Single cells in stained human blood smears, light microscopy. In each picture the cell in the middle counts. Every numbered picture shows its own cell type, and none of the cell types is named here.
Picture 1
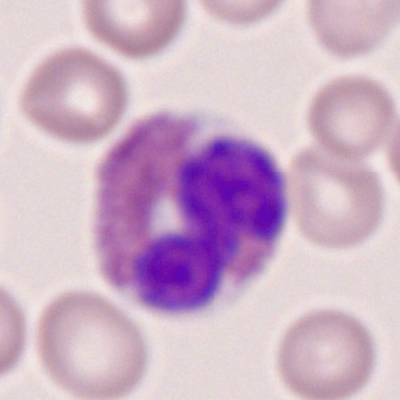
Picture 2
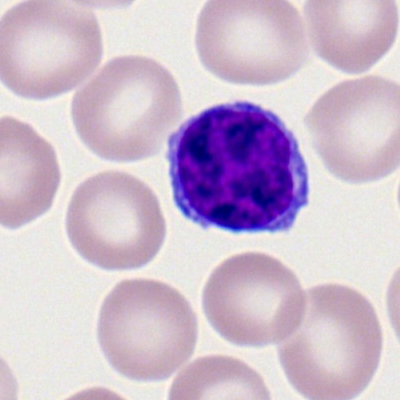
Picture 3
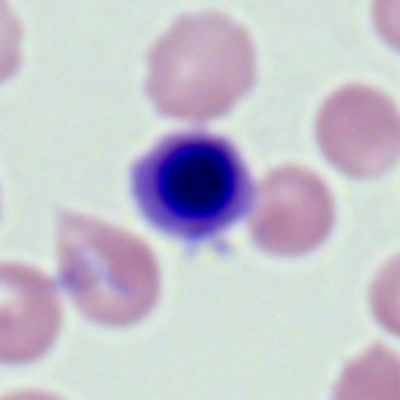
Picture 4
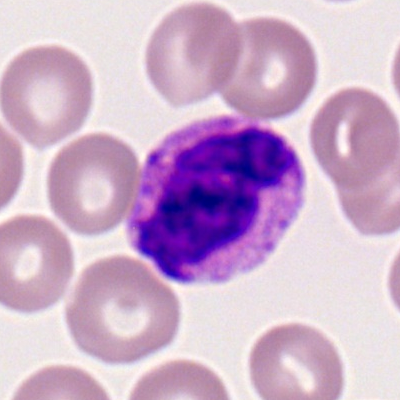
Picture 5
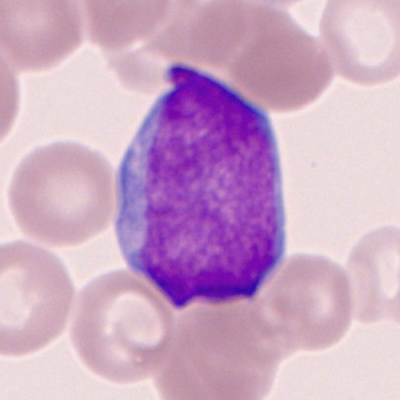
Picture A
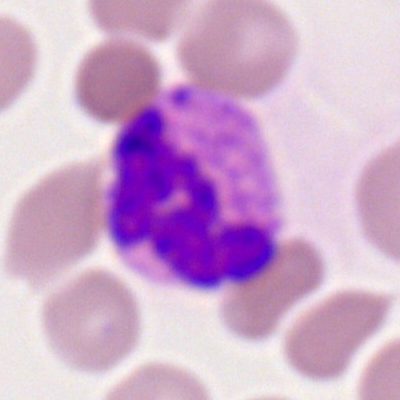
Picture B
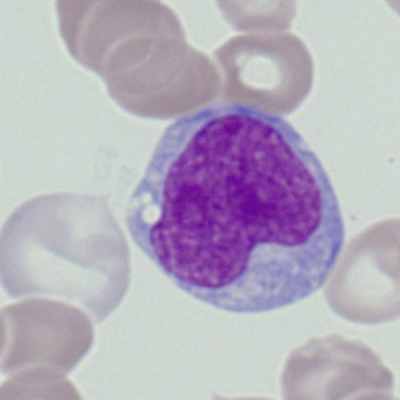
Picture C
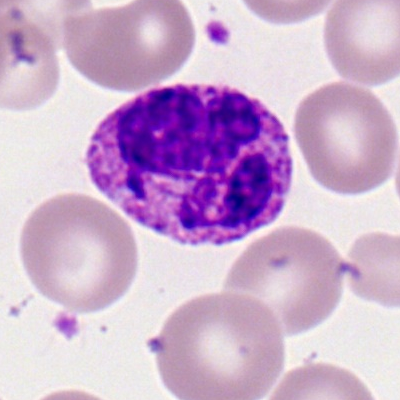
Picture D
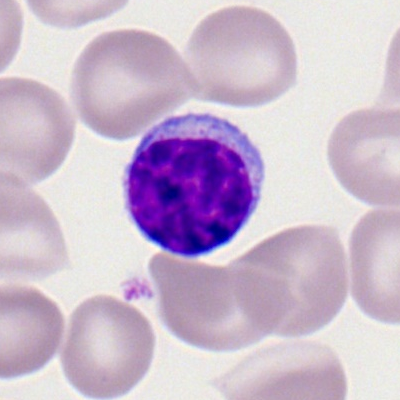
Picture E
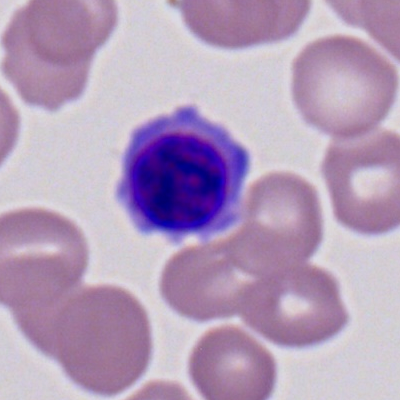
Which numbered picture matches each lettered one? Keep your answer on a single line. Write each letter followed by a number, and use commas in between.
A 4, B 5, C 4, D 2, E 3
